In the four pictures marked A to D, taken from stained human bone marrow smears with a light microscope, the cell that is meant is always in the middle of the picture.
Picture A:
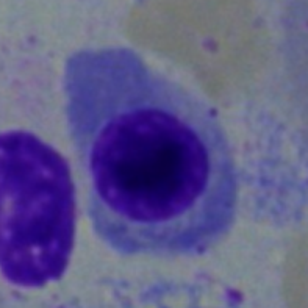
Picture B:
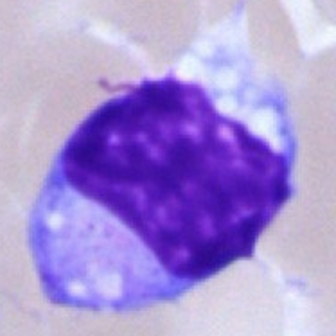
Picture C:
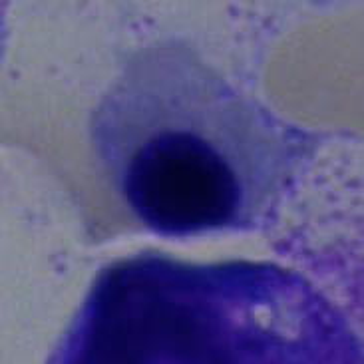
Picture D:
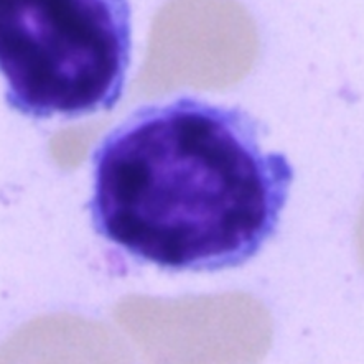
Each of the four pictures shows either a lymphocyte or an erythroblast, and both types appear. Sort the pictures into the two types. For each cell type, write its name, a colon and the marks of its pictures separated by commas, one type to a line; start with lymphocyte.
lymphocyte: B, D
erythroblast: A, C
